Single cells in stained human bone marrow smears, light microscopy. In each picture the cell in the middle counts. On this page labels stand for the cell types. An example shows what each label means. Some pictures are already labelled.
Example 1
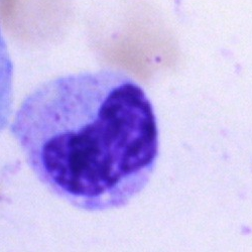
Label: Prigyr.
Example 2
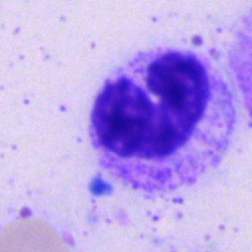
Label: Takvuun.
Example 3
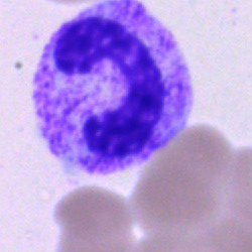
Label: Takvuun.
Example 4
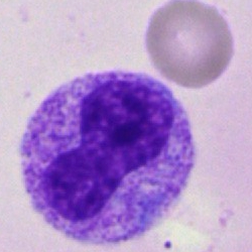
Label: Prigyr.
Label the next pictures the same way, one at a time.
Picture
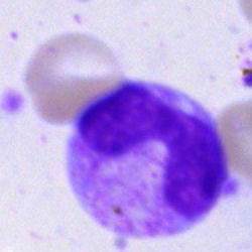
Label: Takvuun.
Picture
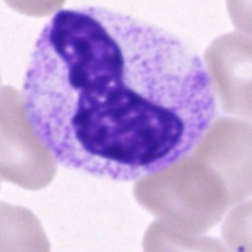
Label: Takvuun.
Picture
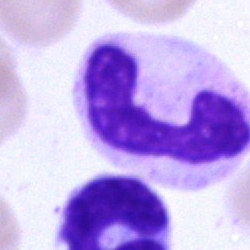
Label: Takvuun.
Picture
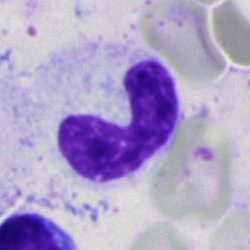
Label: Takvuun.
